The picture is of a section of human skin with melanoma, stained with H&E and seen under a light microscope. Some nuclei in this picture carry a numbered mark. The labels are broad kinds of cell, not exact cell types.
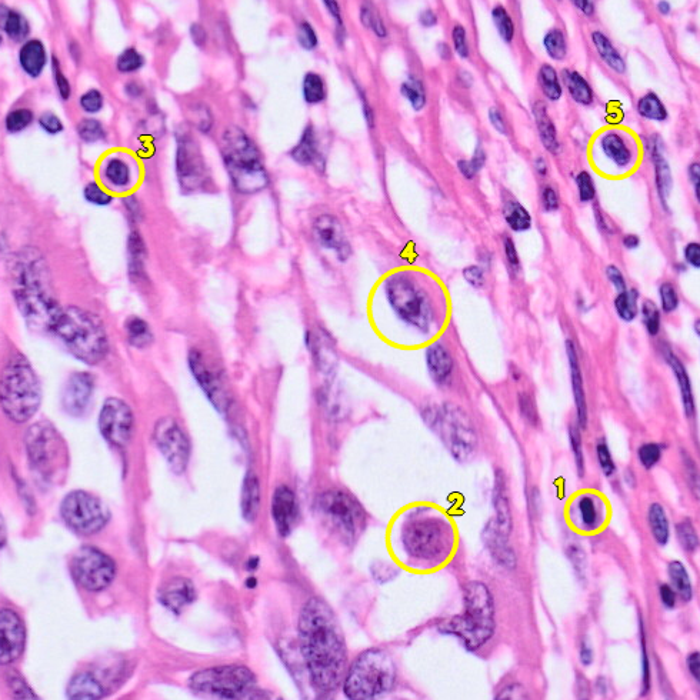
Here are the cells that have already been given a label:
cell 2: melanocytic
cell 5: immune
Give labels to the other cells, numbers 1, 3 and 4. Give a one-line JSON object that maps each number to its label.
{"1": "immune", "3": "immune", "4": "melanocytic"}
